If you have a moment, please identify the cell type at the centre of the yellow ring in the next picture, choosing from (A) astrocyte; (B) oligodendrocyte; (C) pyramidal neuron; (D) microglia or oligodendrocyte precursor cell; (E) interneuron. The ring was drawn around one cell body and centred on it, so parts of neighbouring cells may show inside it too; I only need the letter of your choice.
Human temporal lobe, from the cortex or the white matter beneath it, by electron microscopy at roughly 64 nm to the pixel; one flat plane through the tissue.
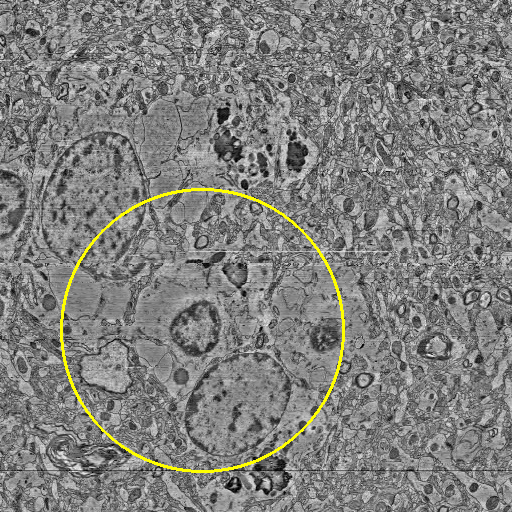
A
